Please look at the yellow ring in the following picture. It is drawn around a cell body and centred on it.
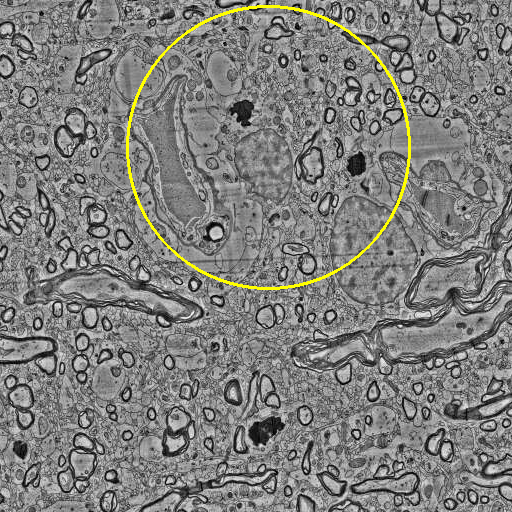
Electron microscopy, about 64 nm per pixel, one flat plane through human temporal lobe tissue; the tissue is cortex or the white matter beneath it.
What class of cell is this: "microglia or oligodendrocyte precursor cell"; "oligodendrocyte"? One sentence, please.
The ring surrounds the cell body of an oligodendrocyte.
